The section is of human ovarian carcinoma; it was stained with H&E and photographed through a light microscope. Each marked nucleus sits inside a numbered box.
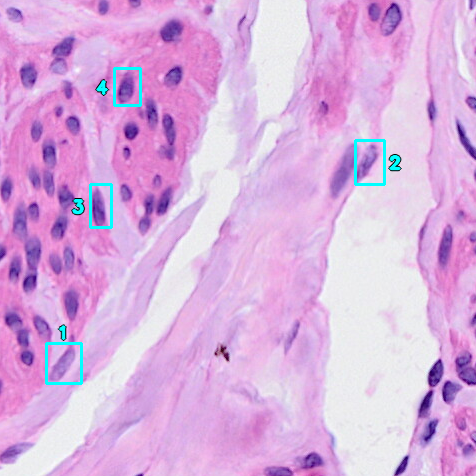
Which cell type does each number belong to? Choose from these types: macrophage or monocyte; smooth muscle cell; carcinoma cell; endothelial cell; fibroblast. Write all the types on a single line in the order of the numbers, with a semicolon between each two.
smooth muscle cell; endothelial cell; smooth muscle cell; smooth muscle cell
